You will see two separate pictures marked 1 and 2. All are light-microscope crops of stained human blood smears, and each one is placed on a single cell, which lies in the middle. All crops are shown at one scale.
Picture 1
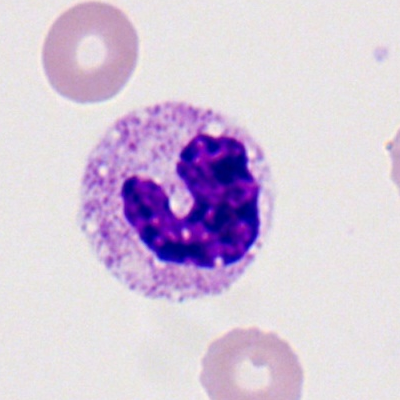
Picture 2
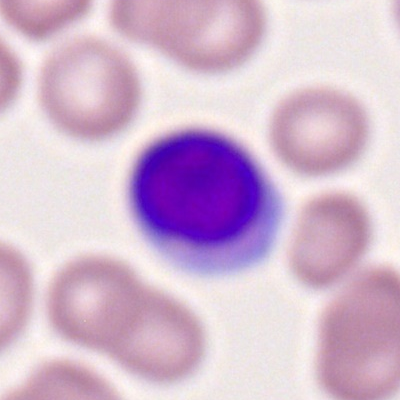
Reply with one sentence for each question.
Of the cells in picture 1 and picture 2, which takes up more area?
Picture 1 holds the larger cell; it covers about 1.5 times the area of the cell in picture 2.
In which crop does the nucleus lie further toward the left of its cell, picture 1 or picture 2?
It is the nucleus in picture 2 that lies further toward the left of its cell.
